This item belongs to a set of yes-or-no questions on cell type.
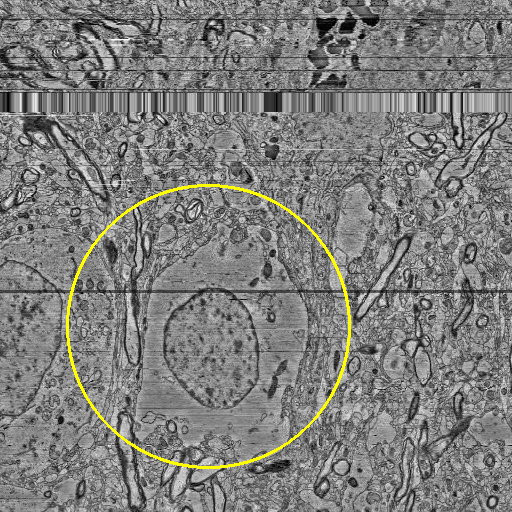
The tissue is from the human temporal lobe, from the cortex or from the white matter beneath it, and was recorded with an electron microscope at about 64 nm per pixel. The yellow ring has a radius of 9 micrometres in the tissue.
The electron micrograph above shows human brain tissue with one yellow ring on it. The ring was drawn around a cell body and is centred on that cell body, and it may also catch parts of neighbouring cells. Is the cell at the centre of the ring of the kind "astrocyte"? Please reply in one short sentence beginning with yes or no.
Yes, that cell is of the named kind.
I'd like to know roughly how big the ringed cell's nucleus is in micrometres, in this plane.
The nucleus comes to roughly 8 by 6 micrometres in this plane.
